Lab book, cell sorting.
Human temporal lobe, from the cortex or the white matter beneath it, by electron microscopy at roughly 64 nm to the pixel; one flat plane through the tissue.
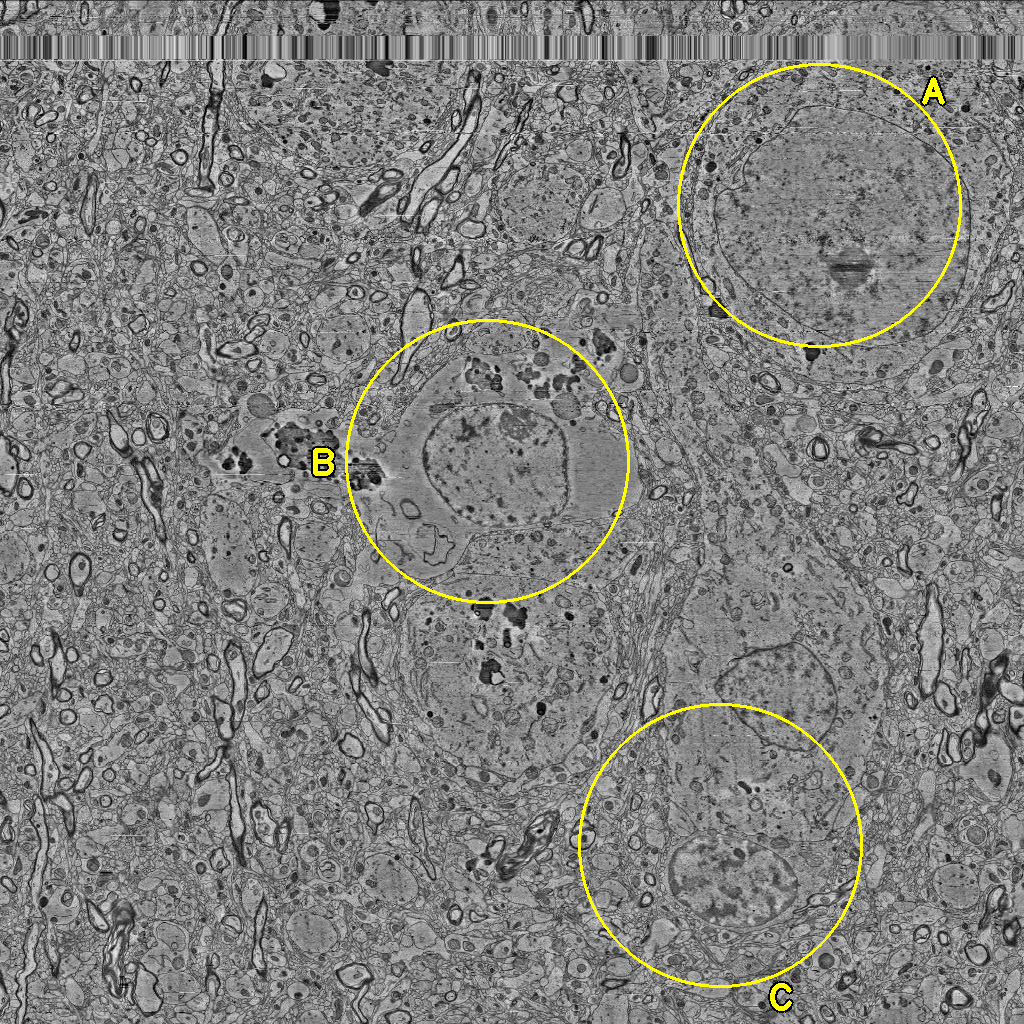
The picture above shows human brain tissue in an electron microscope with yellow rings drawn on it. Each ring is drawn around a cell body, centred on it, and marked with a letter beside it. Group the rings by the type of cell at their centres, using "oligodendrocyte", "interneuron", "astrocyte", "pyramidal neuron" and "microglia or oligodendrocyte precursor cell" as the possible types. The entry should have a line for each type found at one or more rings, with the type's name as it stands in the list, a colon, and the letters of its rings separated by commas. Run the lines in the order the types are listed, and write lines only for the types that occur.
oligodendrocyte: C
astrocyte: B
pyramidal neuron: A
